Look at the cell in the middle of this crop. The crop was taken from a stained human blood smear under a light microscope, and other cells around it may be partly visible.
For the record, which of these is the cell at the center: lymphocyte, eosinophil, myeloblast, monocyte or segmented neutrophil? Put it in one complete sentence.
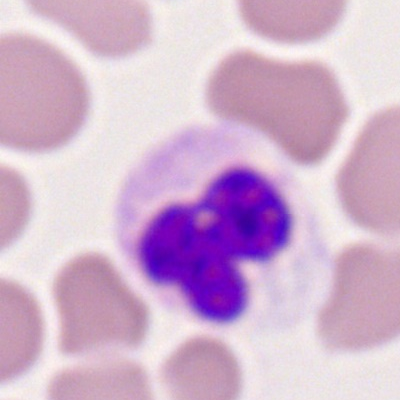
Standing at the centre of this crop is a segmented neutrophil.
